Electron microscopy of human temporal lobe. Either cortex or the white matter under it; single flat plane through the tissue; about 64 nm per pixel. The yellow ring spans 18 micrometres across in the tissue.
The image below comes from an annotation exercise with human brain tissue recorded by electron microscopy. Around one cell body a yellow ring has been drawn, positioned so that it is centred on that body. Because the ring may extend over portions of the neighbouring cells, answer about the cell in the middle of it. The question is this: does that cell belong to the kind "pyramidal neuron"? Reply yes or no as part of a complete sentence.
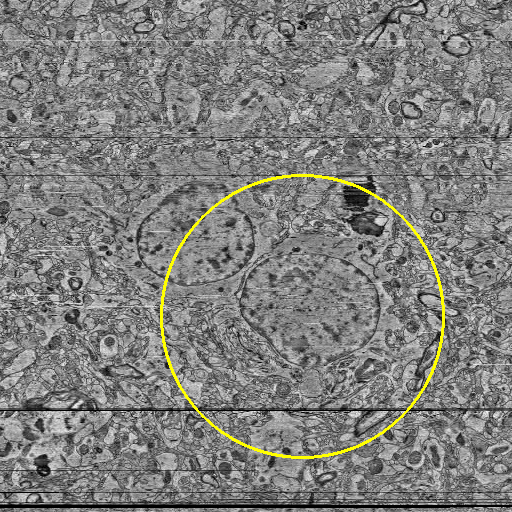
No, in the image the cell in the middle of the ring is of another kind.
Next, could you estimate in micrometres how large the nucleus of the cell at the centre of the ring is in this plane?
In this plane the nucleus measures roughly 9 by 7 micrometers.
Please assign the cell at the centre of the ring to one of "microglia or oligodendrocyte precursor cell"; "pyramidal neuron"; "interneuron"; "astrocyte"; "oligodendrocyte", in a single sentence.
The cell that the ring is centred on is an astrocyte.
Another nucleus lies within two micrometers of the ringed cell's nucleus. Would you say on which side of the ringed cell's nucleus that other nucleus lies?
The other nucleus sits to the upper left of it.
